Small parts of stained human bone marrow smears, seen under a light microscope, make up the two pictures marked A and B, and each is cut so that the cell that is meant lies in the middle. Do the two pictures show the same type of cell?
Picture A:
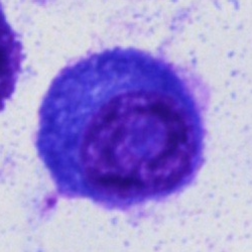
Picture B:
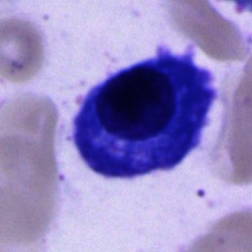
yes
